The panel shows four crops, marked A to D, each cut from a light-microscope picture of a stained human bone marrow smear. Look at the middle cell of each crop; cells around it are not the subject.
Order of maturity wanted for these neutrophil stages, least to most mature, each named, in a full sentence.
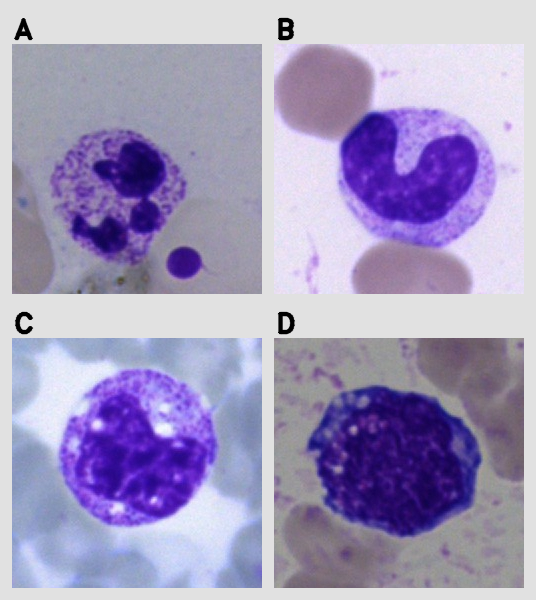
Ranked by maturation stage, earliest first, the crops read crop D (a promyelocyte), crop C (a metamyelocyte), crop B (a band neutrophil) and crop A (a segmented neutrophil).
